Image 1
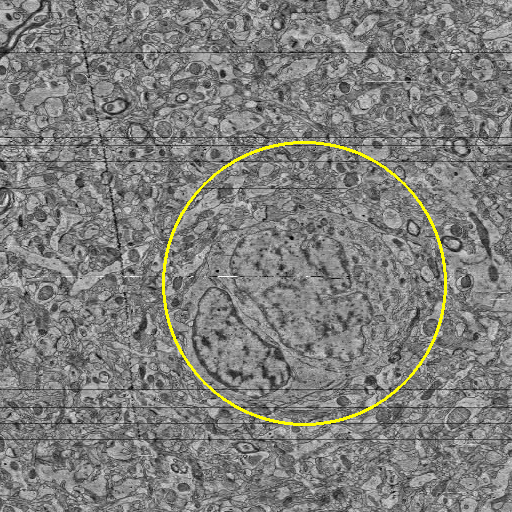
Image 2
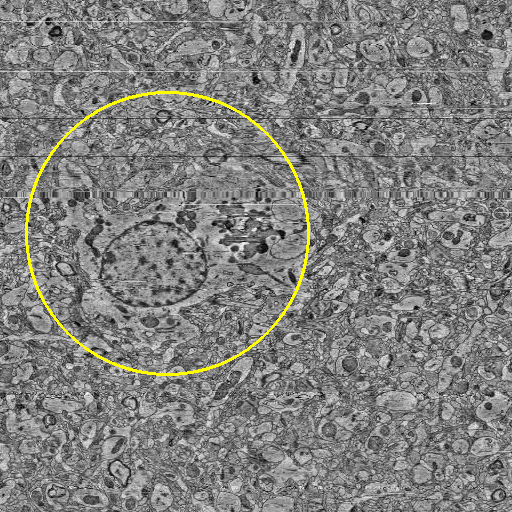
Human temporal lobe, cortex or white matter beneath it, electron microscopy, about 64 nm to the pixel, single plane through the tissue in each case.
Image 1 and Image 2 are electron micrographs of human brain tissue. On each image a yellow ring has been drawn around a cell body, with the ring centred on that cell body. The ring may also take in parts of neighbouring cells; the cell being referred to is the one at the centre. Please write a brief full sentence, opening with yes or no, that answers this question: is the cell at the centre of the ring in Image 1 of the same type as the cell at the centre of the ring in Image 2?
No, the two cells are of two types.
